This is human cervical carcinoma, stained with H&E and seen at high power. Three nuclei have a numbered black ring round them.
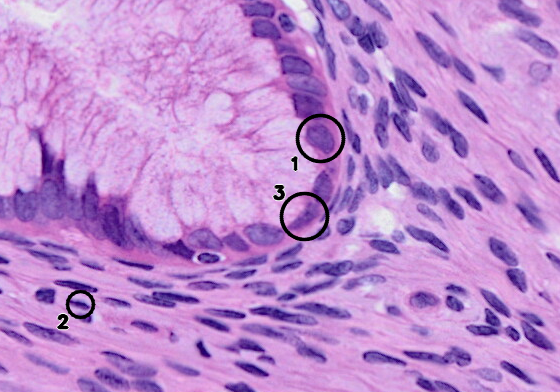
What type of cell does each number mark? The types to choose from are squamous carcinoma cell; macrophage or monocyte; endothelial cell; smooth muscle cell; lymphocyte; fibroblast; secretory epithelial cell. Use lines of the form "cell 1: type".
cell 1: secretory epithelial cell
cell 2: fibroblast
cell 3: secretory epithelial cell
